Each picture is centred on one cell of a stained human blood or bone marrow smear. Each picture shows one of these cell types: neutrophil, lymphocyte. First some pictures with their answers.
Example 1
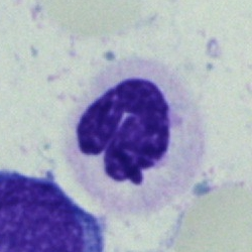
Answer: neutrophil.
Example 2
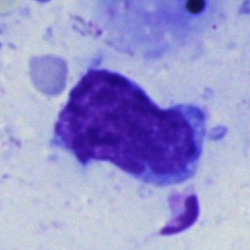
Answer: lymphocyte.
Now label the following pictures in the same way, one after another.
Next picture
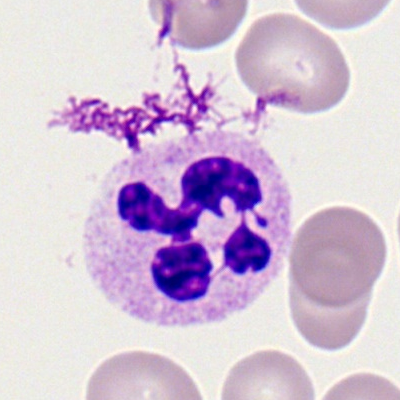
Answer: neutrophil.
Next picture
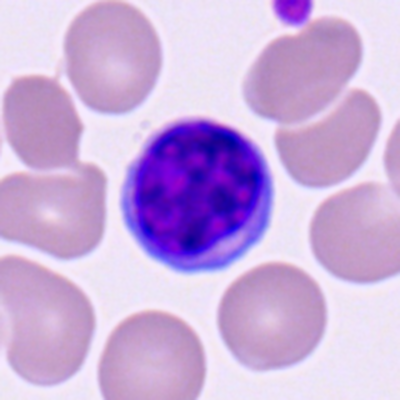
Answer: lymphocyte.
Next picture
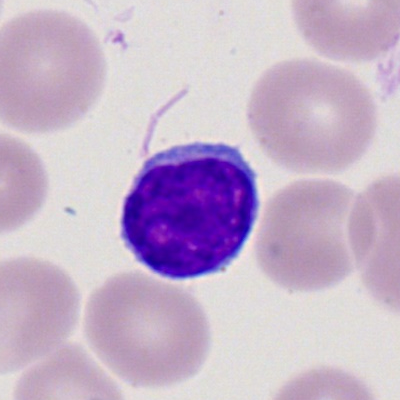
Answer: lymphocyte.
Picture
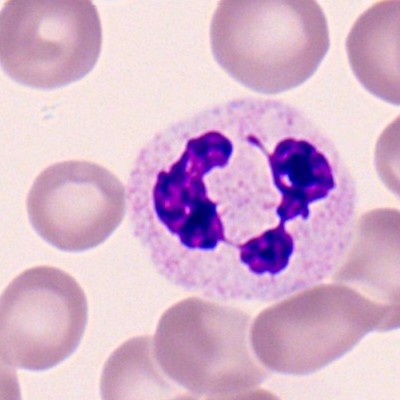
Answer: neutrophil.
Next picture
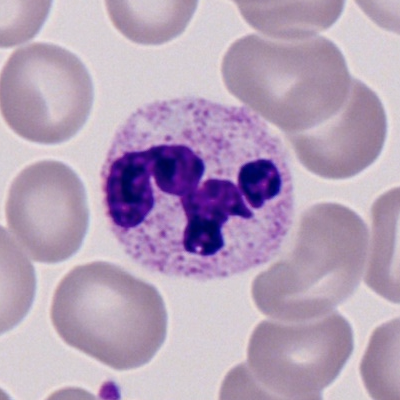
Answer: neutrophil.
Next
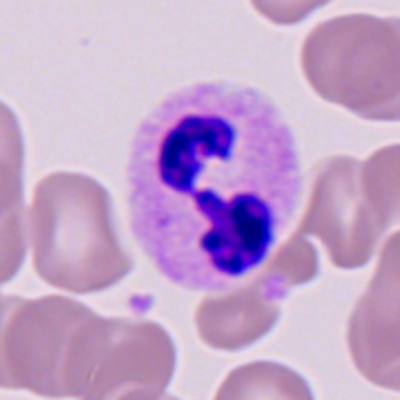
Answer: neutrophil.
